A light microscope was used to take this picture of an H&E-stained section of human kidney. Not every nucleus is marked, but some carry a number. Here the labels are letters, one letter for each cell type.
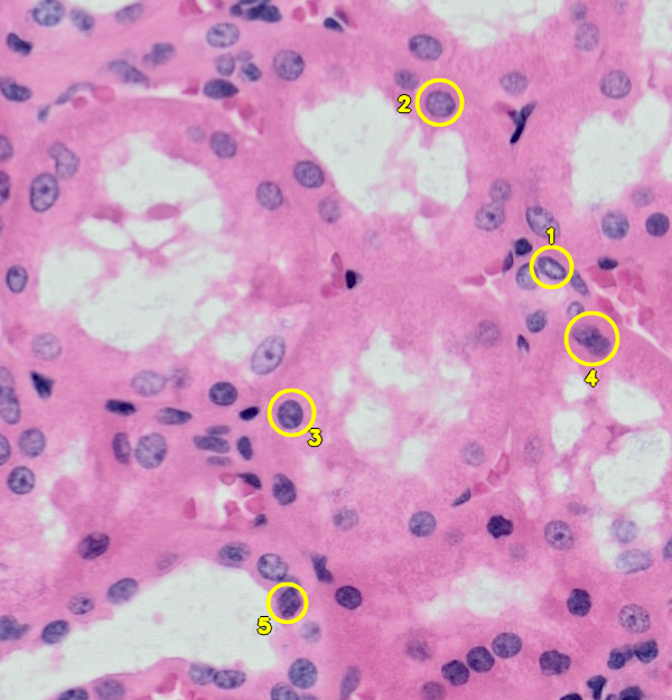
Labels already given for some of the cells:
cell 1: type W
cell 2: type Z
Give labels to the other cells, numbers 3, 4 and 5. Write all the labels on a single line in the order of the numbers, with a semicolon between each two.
type Z; type Z; type W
